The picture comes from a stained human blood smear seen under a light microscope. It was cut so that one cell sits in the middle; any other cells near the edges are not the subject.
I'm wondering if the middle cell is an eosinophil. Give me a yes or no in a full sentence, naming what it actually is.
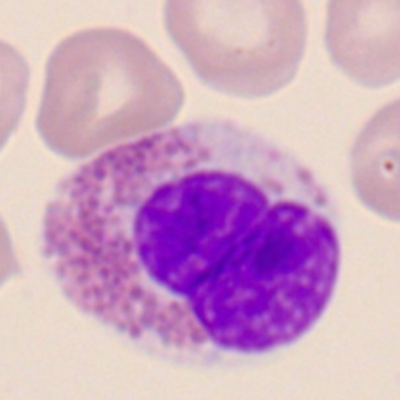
Yes, the crop is centred on an eosinophil.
